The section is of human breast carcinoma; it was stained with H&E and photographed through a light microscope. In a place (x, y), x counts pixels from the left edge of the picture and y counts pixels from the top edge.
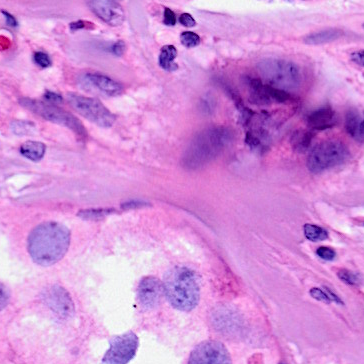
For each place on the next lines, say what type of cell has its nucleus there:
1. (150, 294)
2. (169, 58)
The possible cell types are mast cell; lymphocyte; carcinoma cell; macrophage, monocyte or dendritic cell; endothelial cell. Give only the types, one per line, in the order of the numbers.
carcinoma cell
lymphocyte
